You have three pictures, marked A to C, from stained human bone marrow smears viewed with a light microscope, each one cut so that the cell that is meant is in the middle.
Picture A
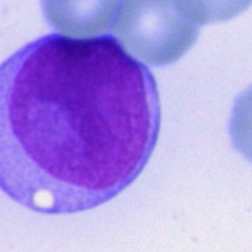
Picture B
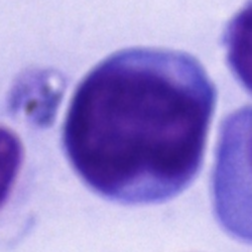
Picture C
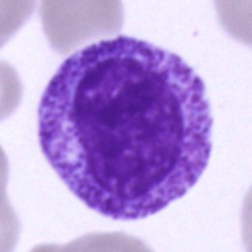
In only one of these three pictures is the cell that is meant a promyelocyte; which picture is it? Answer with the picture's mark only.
C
